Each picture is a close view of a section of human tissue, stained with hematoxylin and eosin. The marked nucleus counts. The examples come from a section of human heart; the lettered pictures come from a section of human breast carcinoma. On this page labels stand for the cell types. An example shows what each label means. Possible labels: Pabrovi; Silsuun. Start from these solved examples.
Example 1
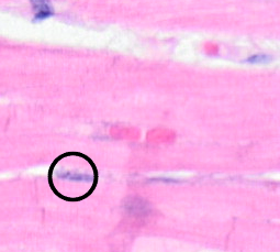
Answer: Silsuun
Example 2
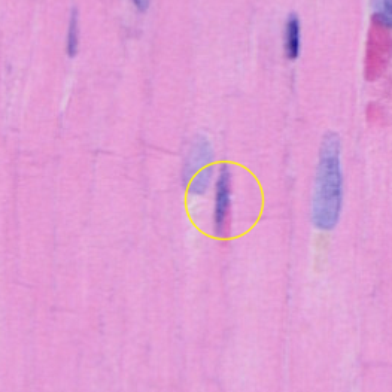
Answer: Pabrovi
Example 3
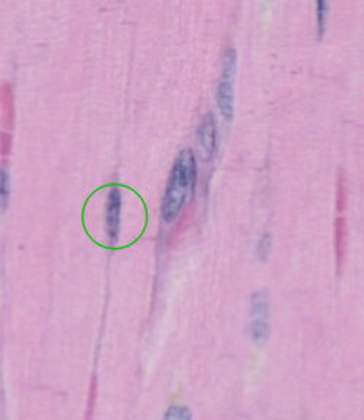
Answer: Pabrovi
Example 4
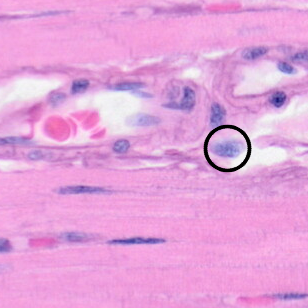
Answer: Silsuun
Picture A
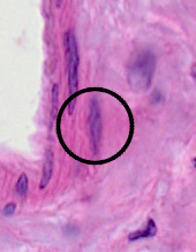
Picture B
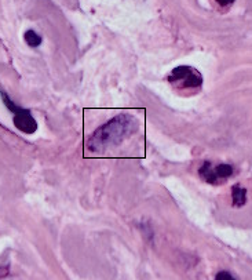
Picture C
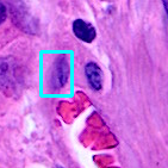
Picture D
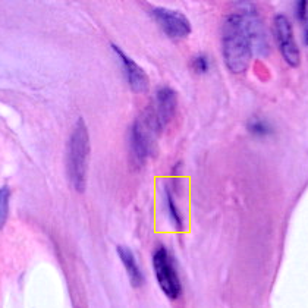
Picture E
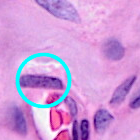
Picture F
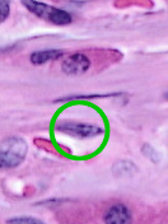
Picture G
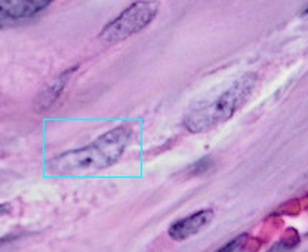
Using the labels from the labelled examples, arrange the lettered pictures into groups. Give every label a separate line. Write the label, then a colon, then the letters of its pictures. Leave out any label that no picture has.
Pabrovi: A, C, E, F
Silsuun: B, D, G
